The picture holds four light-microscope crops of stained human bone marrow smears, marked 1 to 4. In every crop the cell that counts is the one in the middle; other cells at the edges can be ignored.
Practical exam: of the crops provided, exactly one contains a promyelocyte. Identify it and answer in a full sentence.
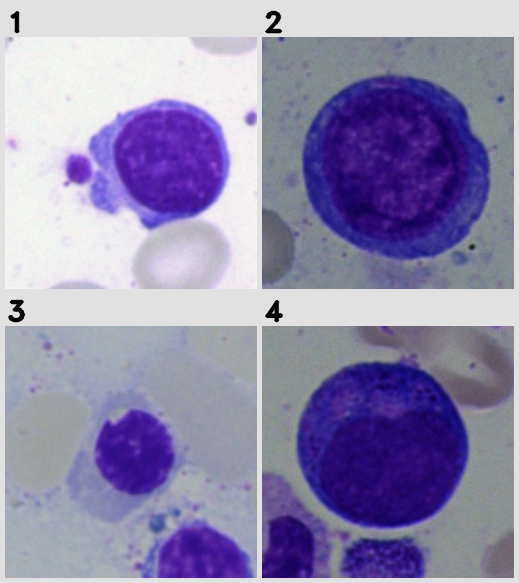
The crop showing a promyelocyte in this series is crop 4.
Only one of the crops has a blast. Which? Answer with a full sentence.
Here the crop that shows a blast is crop 2.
